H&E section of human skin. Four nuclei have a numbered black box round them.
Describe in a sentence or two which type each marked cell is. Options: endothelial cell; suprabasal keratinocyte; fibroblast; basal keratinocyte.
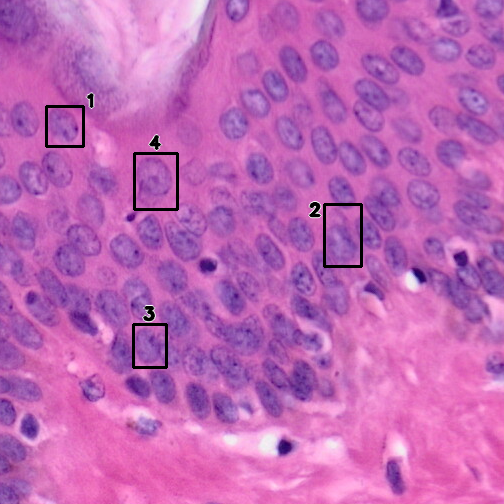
Cells 1, 2 and 4 are suprabasal keratinocytes. Cell 3 is a basal keratinocyte.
